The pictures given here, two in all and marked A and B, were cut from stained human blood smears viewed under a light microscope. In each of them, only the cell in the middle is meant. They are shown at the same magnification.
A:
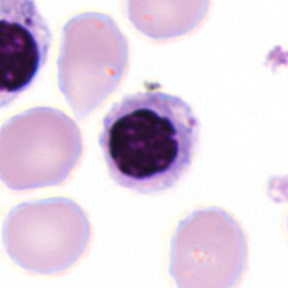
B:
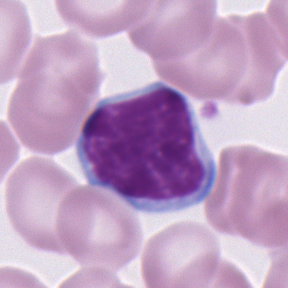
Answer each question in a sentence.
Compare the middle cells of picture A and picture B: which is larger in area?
The cell in picture B is larger, with about 2 times the area of the one in picture A.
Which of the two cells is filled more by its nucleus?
The nucleus fills more of the cell in picture B than in picture A.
